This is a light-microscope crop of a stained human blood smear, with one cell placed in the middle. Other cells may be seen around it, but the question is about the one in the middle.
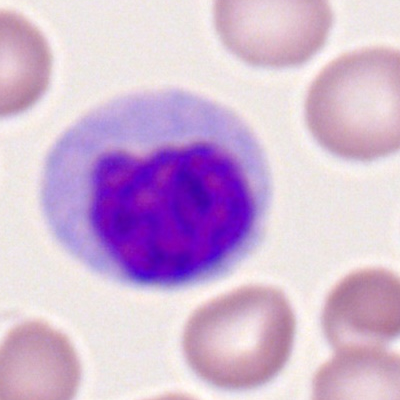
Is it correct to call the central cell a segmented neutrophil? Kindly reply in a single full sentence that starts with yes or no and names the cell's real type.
No, it is a monocyte rather than a segmented neutrophil that the middle of the crop contains.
